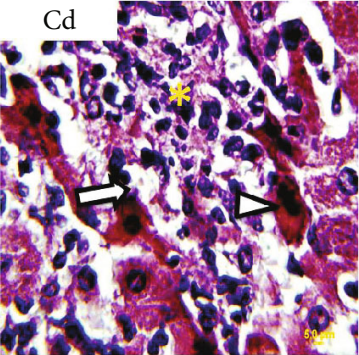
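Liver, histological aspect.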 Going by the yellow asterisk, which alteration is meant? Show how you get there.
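Inflammation. A dense cluster of small dark-staining nuclei lies around the asterisk. The cluster replaces the ordered hepatocyte cords in that area.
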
